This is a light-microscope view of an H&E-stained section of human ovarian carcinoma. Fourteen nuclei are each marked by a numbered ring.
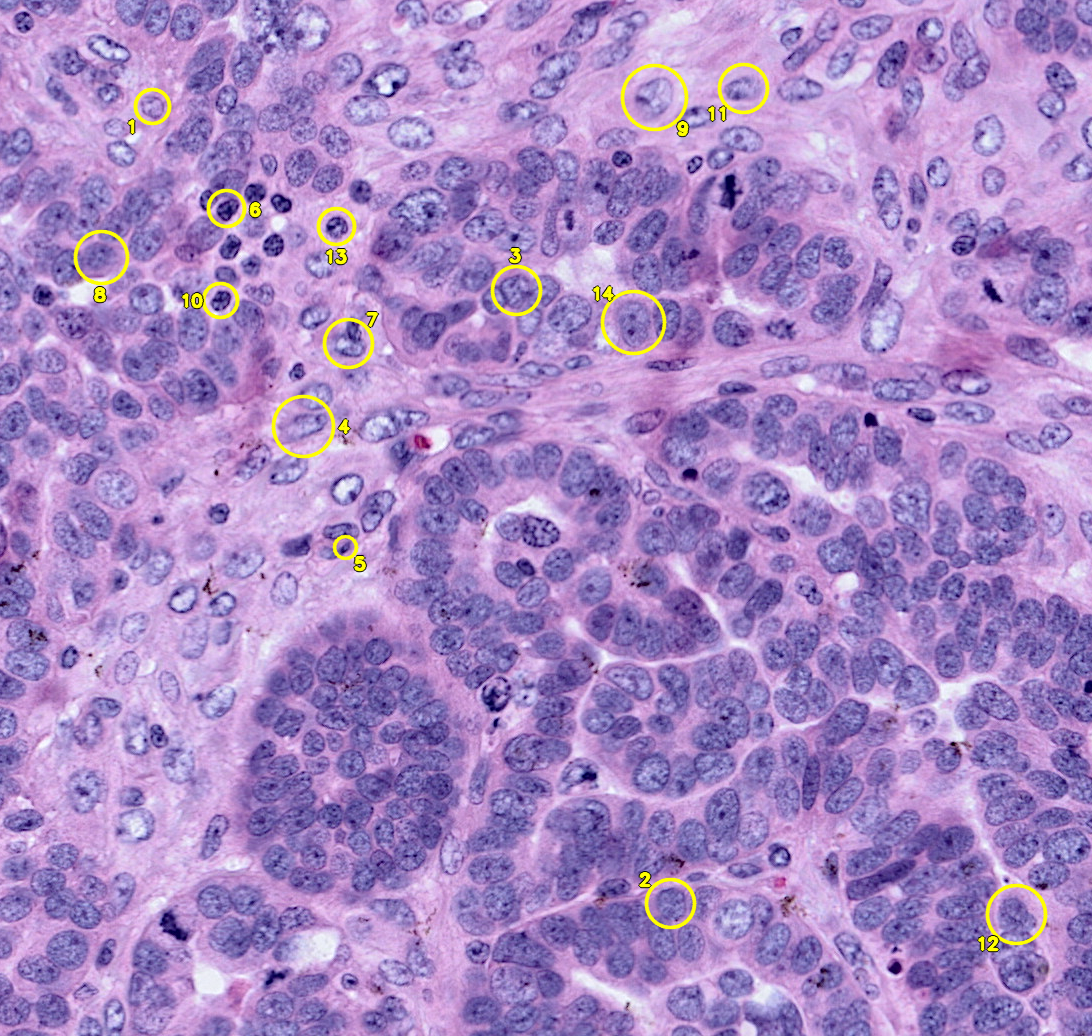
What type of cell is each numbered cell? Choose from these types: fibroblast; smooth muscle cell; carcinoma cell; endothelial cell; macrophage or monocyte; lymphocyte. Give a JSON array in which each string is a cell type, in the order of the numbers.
["fibroblast", "carcinoma cell", "carcinoma cell", "fibroblast", "endothelial cell", "lymphocyte", "fibroblast", "carcinoma cell", "fibroblast", "lymphocyte", "fibroblast", "carcinoma cell", "lymphocyte", "carcinoma cell"]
